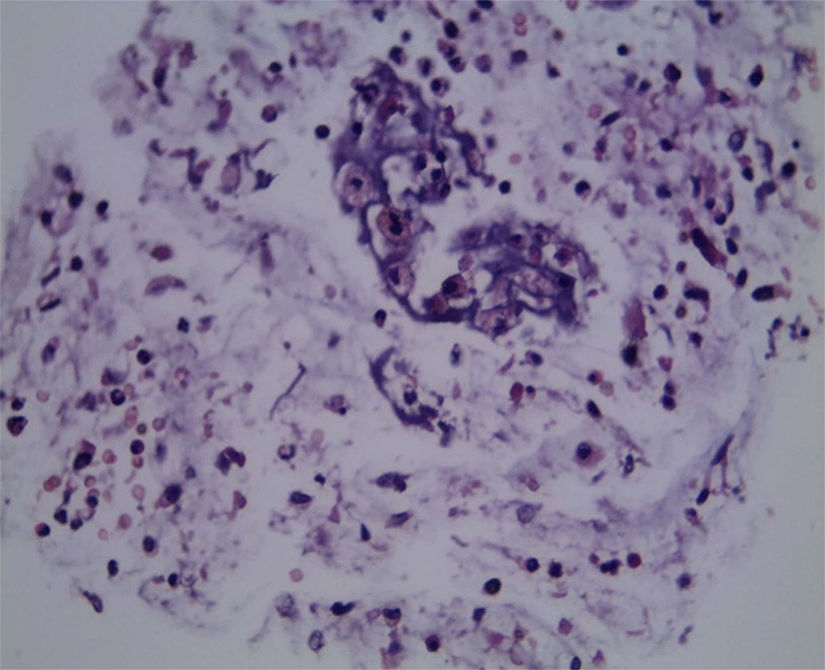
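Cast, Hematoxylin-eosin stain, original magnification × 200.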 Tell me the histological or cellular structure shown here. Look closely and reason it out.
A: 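Pale, wispy, faintly violet material fills the space between the cells. The material forms fine streaks and strands with no cellular structure.
Conclusion: mucinous background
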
